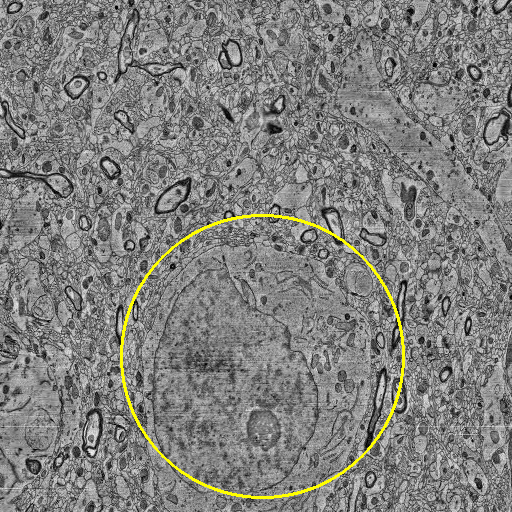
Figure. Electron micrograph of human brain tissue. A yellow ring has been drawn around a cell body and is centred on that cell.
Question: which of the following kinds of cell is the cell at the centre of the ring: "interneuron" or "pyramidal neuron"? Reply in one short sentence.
The cell at the centre of the ring is an interneuron.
